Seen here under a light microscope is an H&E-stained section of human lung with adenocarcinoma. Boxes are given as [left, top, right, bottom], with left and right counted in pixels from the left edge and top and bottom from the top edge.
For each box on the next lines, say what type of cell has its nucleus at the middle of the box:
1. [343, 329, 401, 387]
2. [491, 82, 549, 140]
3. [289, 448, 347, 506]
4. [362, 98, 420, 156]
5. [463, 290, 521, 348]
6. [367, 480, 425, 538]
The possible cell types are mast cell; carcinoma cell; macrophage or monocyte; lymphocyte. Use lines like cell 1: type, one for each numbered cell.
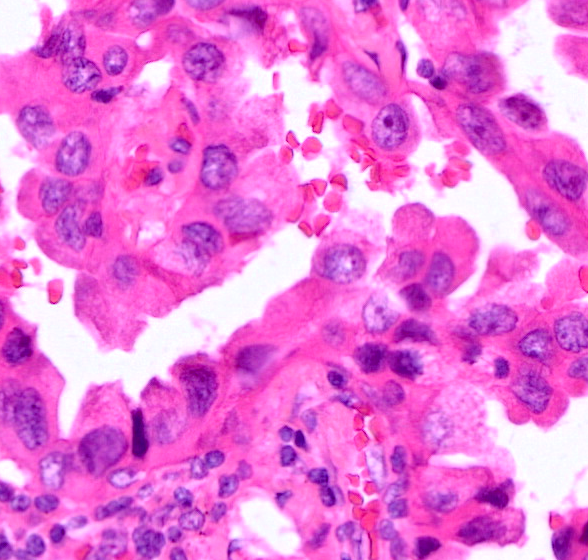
cell 1: carcinoma cell
cell 2: carcinoma cell
cell 3: lymphocyte
cell 4: carcinoma cell
cell 5: carcinoma cell
cell 6: lymphocyte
